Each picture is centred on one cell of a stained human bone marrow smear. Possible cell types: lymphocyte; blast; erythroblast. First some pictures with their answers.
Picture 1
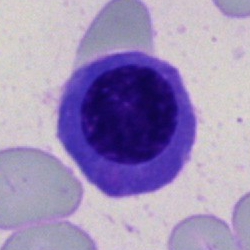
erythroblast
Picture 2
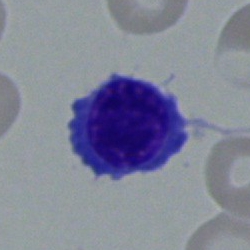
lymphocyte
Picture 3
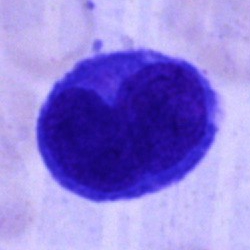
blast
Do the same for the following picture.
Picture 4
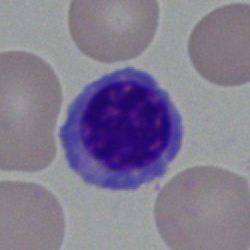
erythroblast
